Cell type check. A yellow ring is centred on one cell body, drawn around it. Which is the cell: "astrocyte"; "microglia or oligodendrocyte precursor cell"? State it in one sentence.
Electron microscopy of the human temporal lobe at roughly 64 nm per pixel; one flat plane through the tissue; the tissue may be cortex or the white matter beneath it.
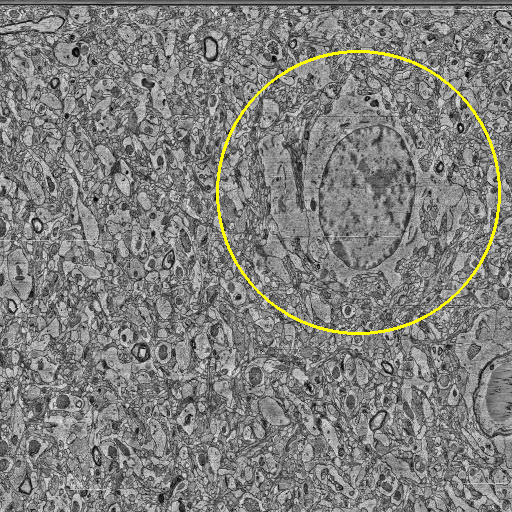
The cell body at the ring's centre belongs to an astrocyte.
